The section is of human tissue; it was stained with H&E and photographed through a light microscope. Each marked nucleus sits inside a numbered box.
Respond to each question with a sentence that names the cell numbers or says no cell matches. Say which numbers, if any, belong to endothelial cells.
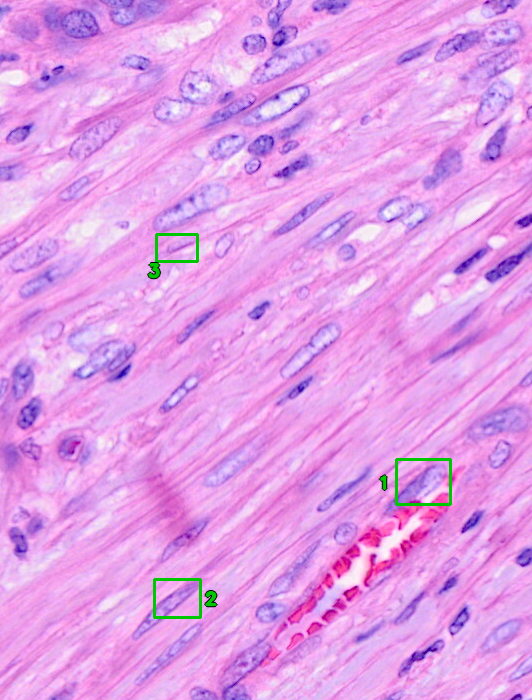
Only nucleus 1 belongs to an endothelial cell; the other numbered nuclei do not.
